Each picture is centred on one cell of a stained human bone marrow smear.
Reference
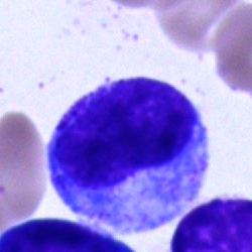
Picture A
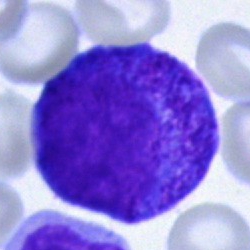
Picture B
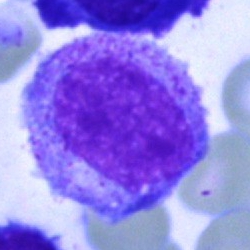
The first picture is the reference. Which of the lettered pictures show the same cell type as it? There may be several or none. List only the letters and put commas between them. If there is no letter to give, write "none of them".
A, B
